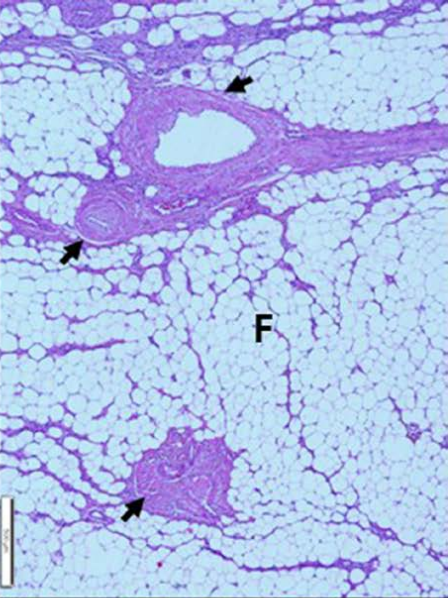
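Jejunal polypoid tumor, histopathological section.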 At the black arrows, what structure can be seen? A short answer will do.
thin and thick-walled blood vessels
